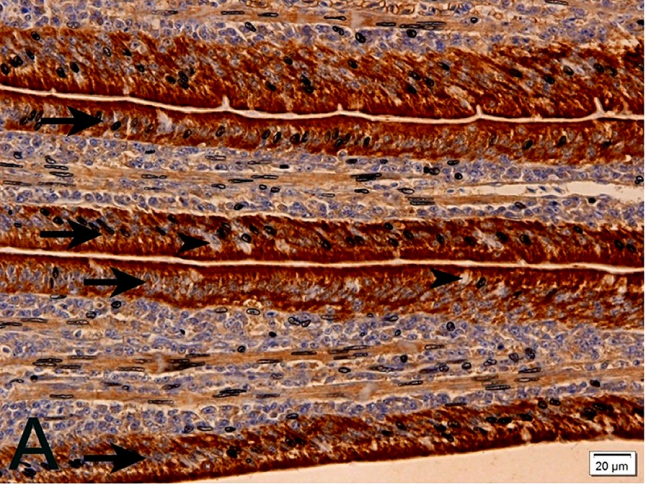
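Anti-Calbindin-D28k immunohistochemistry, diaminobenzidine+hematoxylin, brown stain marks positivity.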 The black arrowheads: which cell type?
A: Goblet cells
